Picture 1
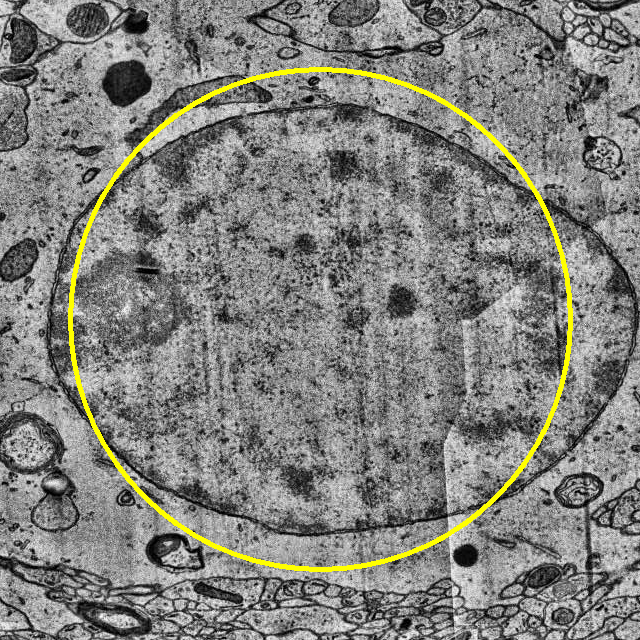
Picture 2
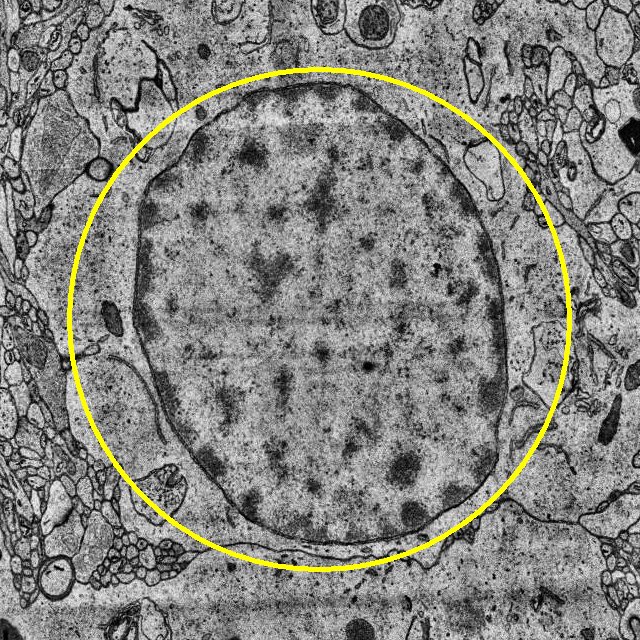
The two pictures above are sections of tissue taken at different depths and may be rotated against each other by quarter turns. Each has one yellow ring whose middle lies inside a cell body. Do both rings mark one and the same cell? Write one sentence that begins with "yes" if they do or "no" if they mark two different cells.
No, these yellow rings each mark a separate cell.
